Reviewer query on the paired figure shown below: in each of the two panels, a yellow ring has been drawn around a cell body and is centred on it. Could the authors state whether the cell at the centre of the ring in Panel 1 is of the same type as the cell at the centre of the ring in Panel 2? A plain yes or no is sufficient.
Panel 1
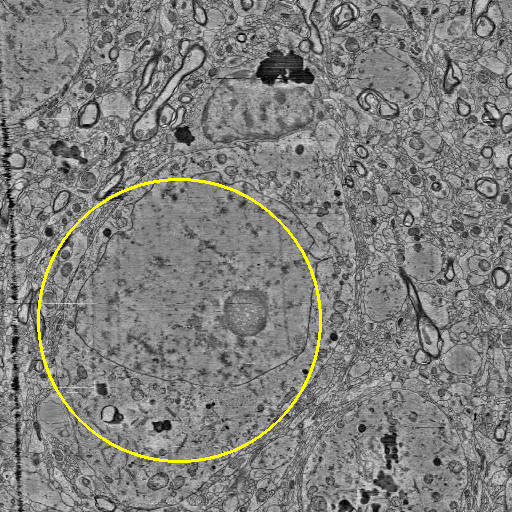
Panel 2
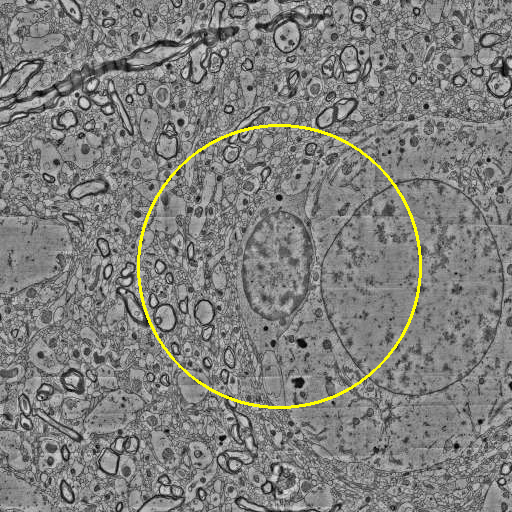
no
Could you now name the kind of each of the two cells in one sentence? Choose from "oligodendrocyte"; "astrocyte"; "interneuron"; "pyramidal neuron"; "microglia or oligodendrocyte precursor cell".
The first ring encloses a pyramidal neuron; the second ring encloses an oligodendrocyte.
